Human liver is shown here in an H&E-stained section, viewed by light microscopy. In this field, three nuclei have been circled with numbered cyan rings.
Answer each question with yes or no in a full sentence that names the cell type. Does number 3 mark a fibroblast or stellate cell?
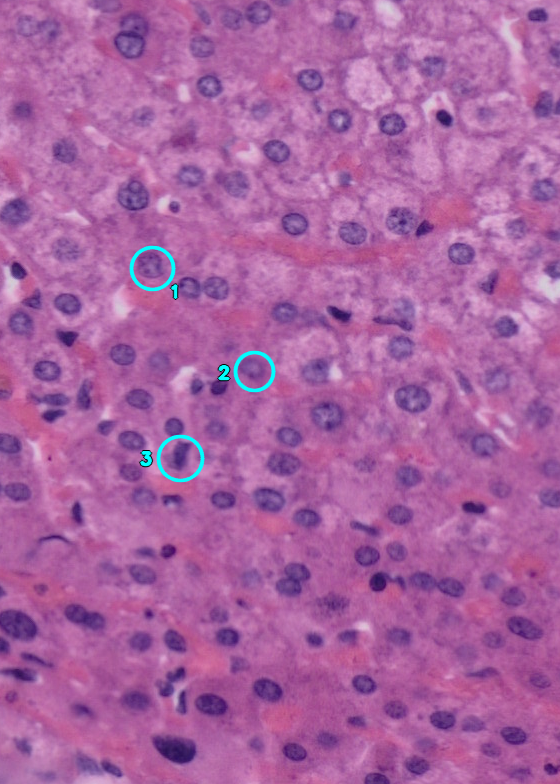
Yes, the numbered nucleus 3 is that of a fibroblast or stellate cell.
